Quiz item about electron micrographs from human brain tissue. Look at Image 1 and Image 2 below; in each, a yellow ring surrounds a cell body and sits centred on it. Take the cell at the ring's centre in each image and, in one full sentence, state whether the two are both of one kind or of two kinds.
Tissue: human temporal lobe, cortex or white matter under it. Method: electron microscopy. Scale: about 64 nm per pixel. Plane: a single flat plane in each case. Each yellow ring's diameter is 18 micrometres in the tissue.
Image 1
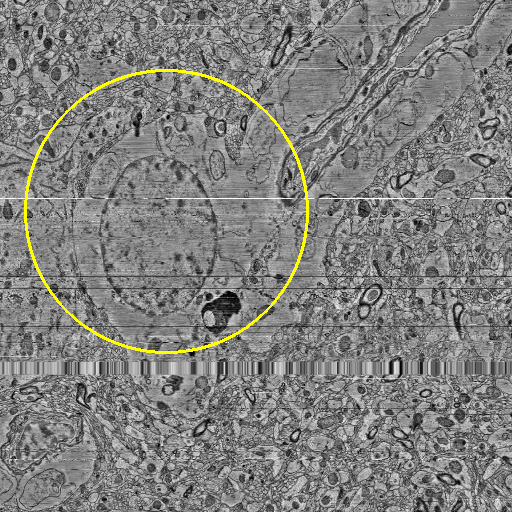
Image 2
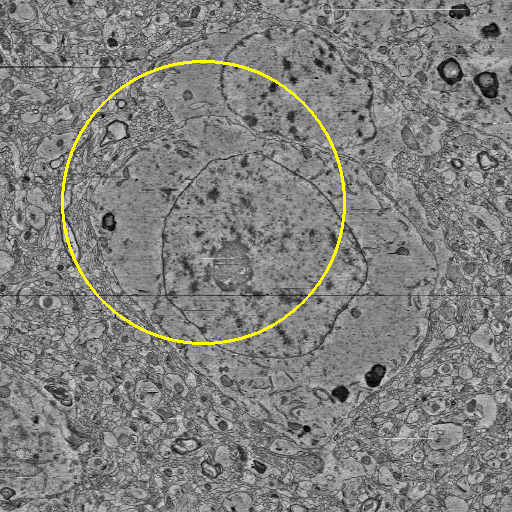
In Image 1 and Image 2, the cells at the ring centres are of two kinds.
